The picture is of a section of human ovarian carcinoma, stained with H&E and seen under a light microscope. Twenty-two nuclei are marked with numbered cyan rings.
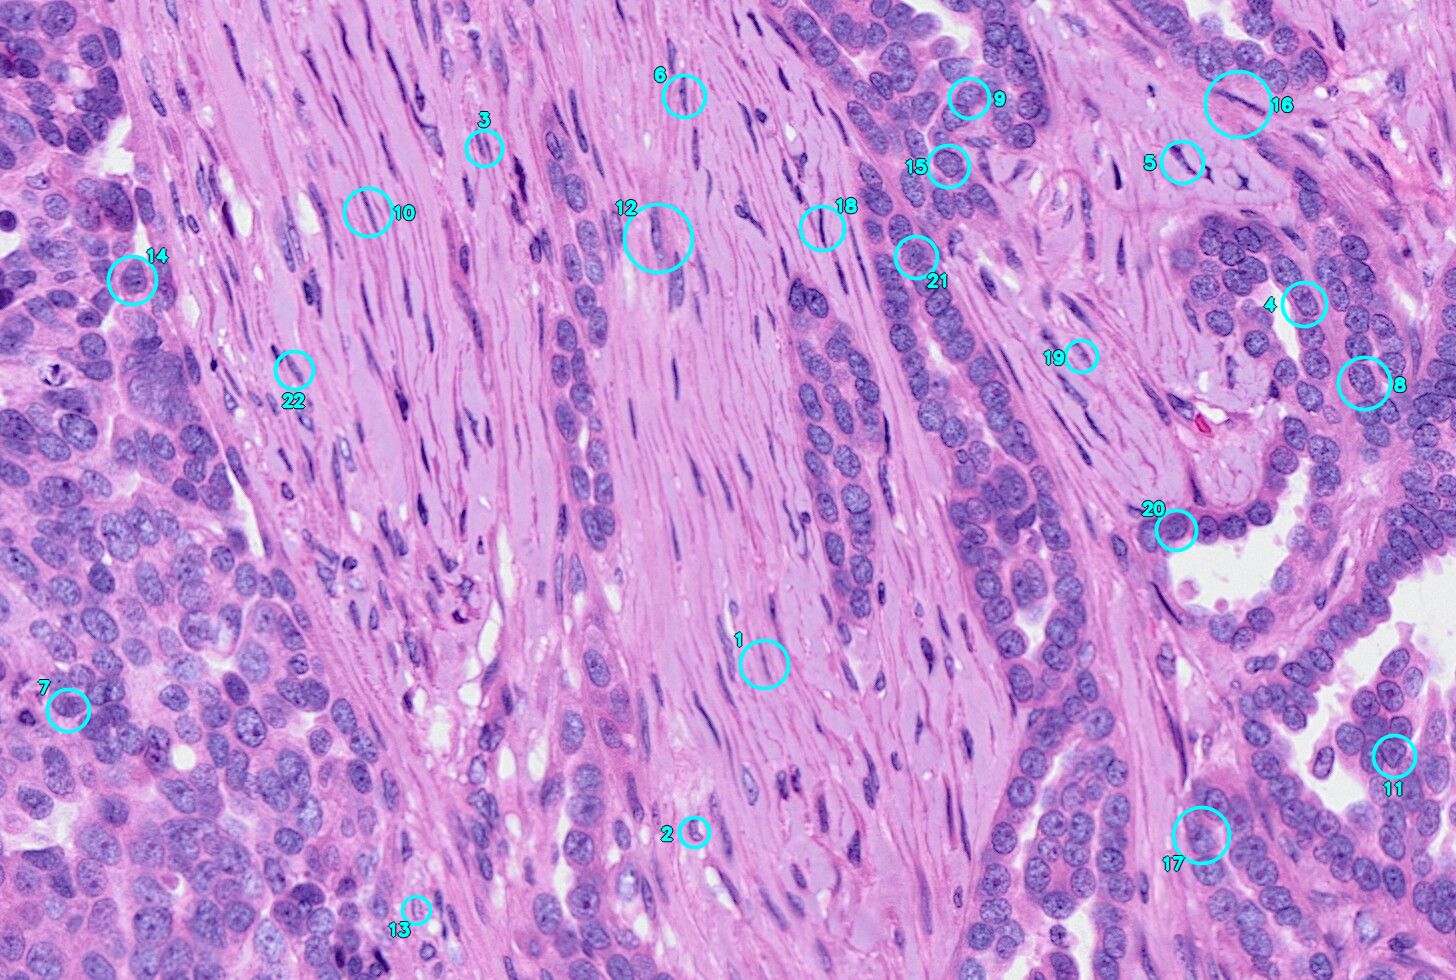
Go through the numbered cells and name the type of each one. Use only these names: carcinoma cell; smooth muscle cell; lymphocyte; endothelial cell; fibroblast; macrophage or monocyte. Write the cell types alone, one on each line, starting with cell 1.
fibroblast
fibroblast
fibroblast
carcinoma cell
fibroblast
fibroblast
carcinoma cell
carcinoma cell
carcinoma cell
fibroblast
carcinoma cell
fibroblast
fibroblast
carcinoma cell
carcinoma cell
fibroblast
carcinoma cell
fibroblast
fibroblast
carcinoma cell
carcinoma cell
fibroblast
